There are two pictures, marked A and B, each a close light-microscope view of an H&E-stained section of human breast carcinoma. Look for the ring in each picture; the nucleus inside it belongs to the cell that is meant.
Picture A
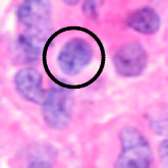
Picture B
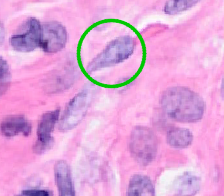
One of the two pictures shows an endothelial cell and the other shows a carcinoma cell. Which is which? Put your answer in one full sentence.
Picture A is of a carcinoma cell, and picture B is of an endothelial cell.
